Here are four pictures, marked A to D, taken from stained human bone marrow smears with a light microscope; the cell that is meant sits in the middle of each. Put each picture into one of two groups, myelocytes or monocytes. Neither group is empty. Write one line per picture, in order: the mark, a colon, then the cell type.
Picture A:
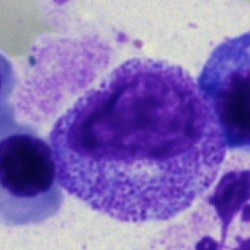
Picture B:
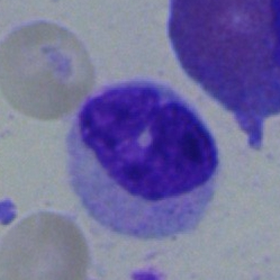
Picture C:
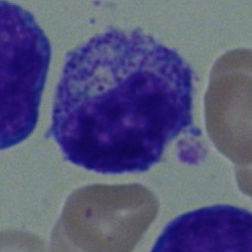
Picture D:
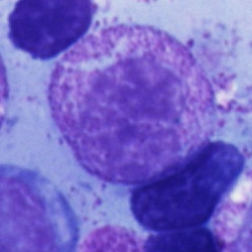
A: myelocyte
B: monocyte
C: myelocyte
D: myelocyte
